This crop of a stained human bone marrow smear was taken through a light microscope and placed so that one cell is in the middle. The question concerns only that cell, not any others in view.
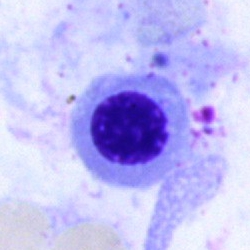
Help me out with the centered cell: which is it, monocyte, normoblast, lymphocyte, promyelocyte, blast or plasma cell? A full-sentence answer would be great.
This particular crop is centered on a normoblast.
